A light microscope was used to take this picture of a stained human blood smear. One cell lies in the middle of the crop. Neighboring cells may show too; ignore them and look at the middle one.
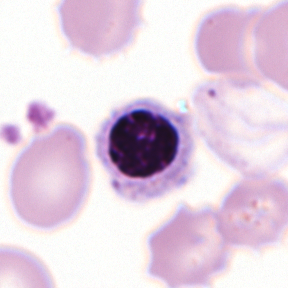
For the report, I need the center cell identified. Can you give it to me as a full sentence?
Looking at the middle of the crop, the cell there is an erythroblast.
